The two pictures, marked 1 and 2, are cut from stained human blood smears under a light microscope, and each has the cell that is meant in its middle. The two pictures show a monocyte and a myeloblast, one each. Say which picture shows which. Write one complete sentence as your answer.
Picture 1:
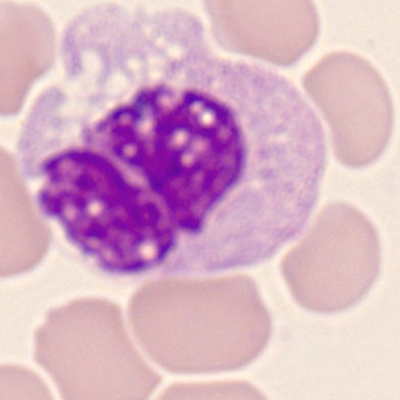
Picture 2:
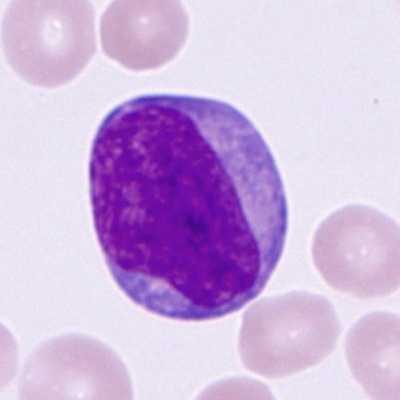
It is picture 1 that shows a monocyte, and picture 2 that shows a myeloblast.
